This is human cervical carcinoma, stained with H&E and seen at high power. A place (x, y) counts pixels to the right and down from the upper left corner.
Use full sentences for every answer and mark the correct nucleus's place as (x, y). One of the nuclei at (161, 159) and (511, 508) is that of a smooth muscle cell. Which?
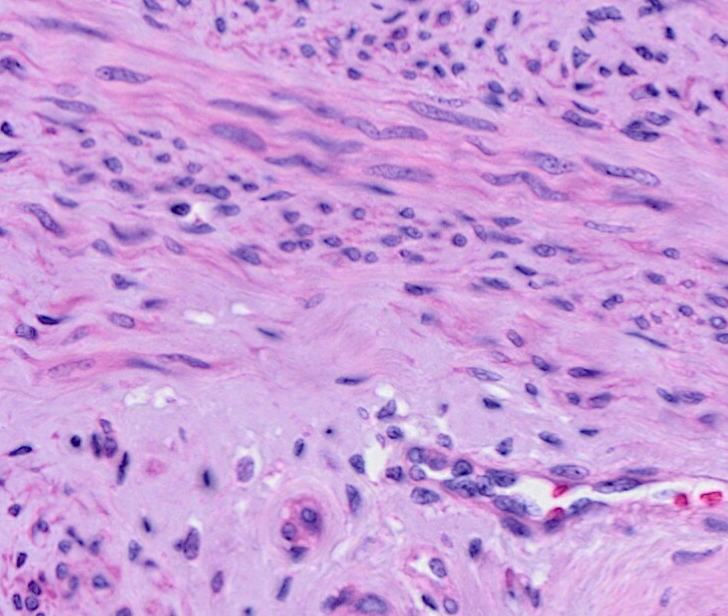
It is the nucleus at (161, 159) that belongs to a smooth muscle cell.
